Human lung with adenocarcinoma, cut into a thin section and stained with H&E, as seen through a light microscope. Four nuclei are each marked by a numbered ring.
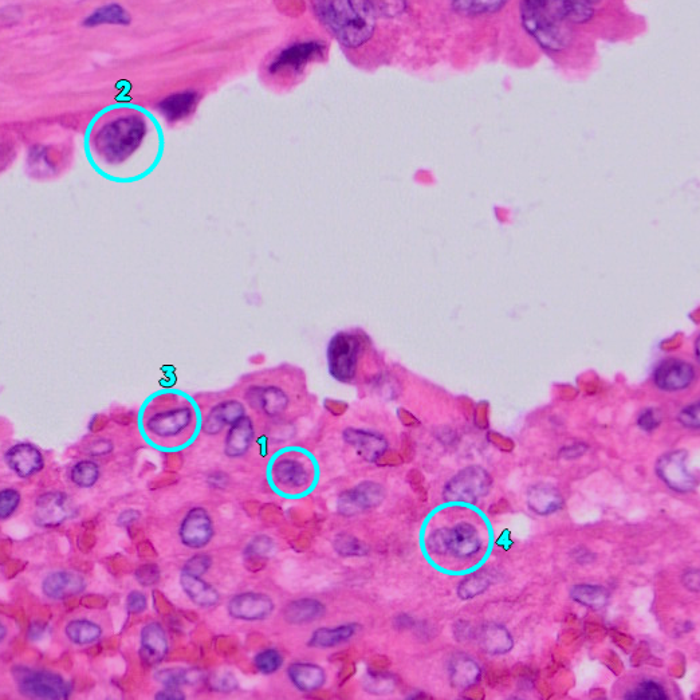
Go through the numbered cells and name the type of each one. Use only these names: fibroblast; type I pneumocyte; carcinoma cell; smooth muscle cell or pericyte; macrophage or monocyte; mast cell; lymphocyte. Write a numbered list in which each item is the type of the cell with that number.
1. macrophage or monocyte
2. carcinoma cell
3. macrophage or monocyte
4. macrophage or monocyte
